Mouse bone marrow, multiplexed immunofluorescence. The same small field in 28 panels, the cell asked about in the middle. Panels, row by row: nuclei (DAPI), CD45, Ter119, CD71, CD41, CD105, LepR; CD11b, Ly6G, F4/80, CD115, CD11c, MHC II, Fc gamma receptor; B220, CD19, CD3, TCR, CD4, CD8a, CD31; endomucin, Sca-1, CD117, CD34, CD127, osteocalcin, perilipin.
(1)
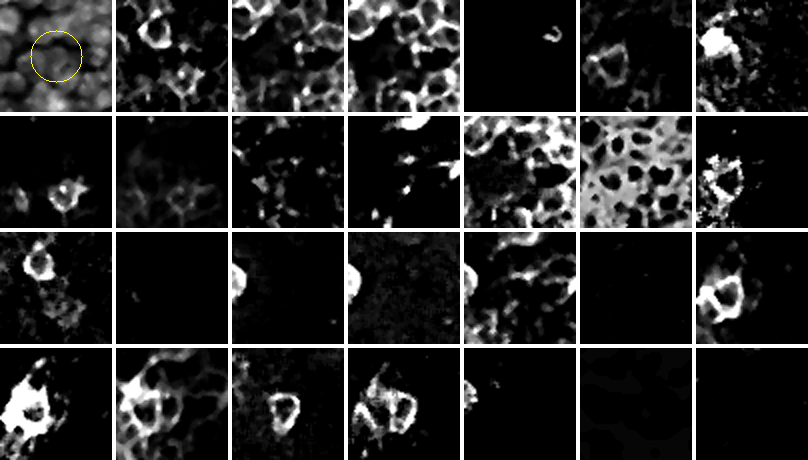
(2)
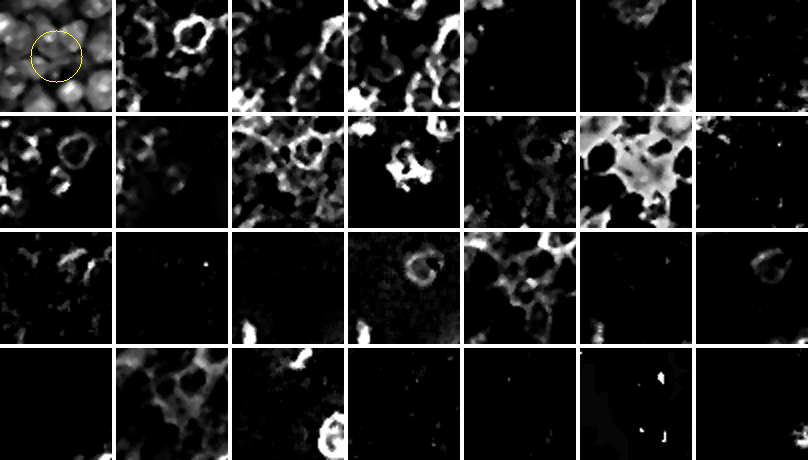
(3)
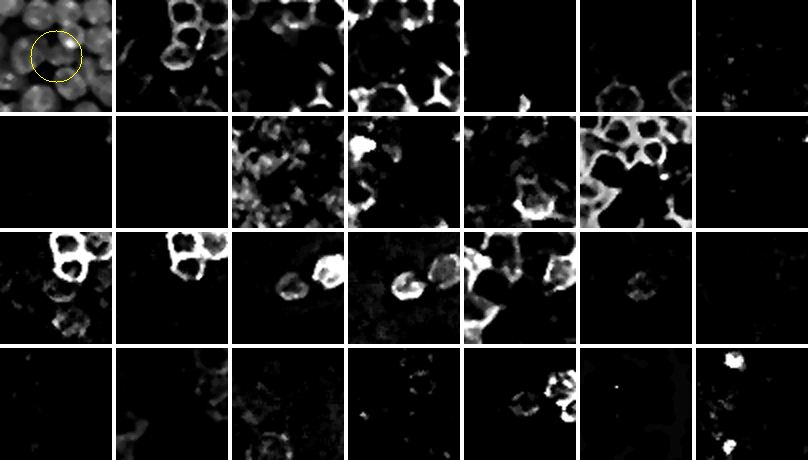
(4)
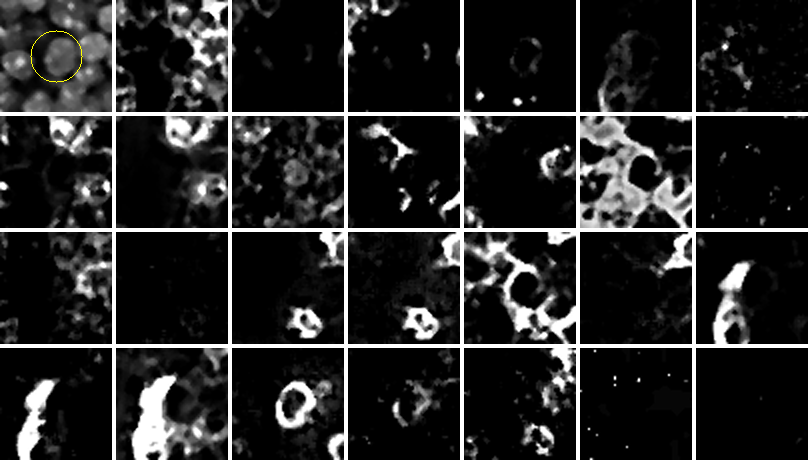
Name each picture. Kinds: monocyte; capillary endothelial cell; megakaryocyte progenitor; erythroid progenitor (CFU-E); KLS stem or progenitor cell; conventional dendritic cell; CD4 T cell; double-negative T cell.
1: erythroid progenitor (CFU-E)
2: monocyte
3: double-negative T cell
4: KLS stem or progenitor cell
